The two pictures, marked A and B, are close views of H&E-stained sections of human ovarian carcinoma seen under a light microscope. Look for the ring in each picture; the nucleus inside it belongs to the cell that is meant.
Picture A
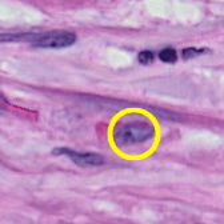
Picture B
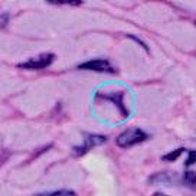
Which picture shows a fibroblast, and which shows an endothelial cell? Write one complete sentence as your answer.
Picture A is of an endothelial cell, and picture B is of a fibroblast.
